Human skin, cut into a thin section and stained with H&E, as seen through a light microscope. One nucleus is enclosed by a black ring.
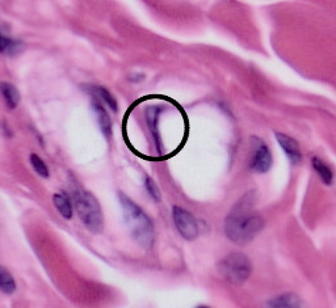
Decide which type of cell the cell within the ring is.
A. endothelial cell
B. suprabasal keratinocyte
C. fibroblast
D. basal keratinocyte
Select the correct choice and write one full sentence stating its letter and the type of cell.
In this case the cell within the ring is an endothelial cell, so option A is correct.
